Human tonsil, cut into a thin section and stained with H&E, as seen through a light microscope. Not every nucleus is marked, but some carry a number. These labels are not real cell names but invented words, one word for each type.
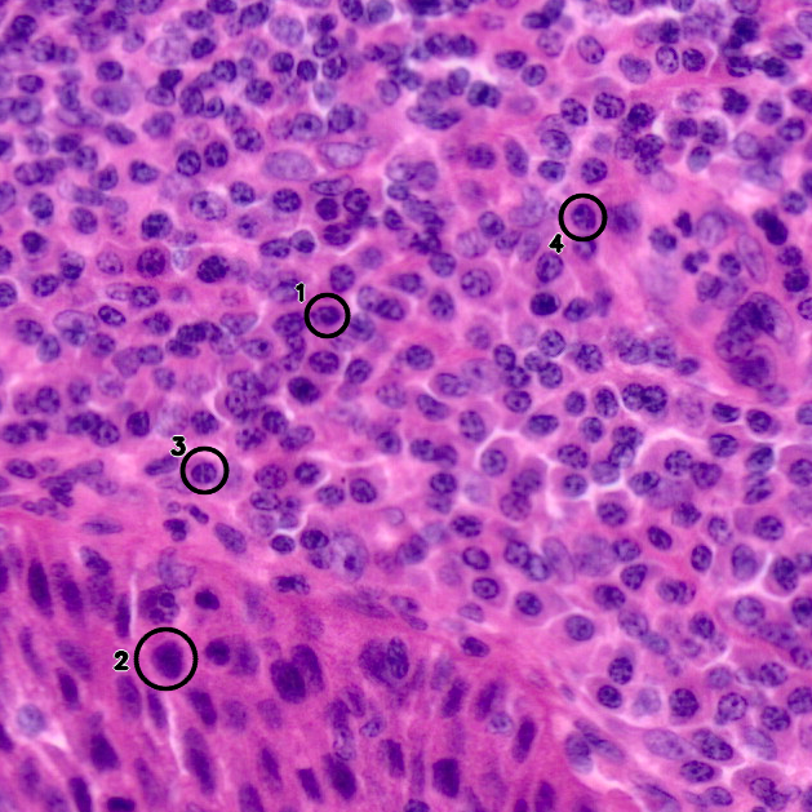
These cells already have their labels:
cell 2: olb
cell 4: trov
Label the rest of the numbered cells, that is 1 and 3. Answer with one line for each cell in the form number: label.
1: trov
3: trov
